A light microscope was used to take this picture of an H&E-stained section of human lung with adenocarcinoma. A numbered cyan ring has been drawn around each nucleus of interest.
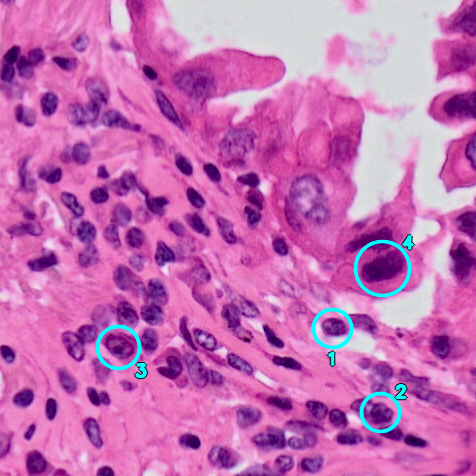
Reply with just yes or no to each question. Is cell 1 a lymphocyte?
yes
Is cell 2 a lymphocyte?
yes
